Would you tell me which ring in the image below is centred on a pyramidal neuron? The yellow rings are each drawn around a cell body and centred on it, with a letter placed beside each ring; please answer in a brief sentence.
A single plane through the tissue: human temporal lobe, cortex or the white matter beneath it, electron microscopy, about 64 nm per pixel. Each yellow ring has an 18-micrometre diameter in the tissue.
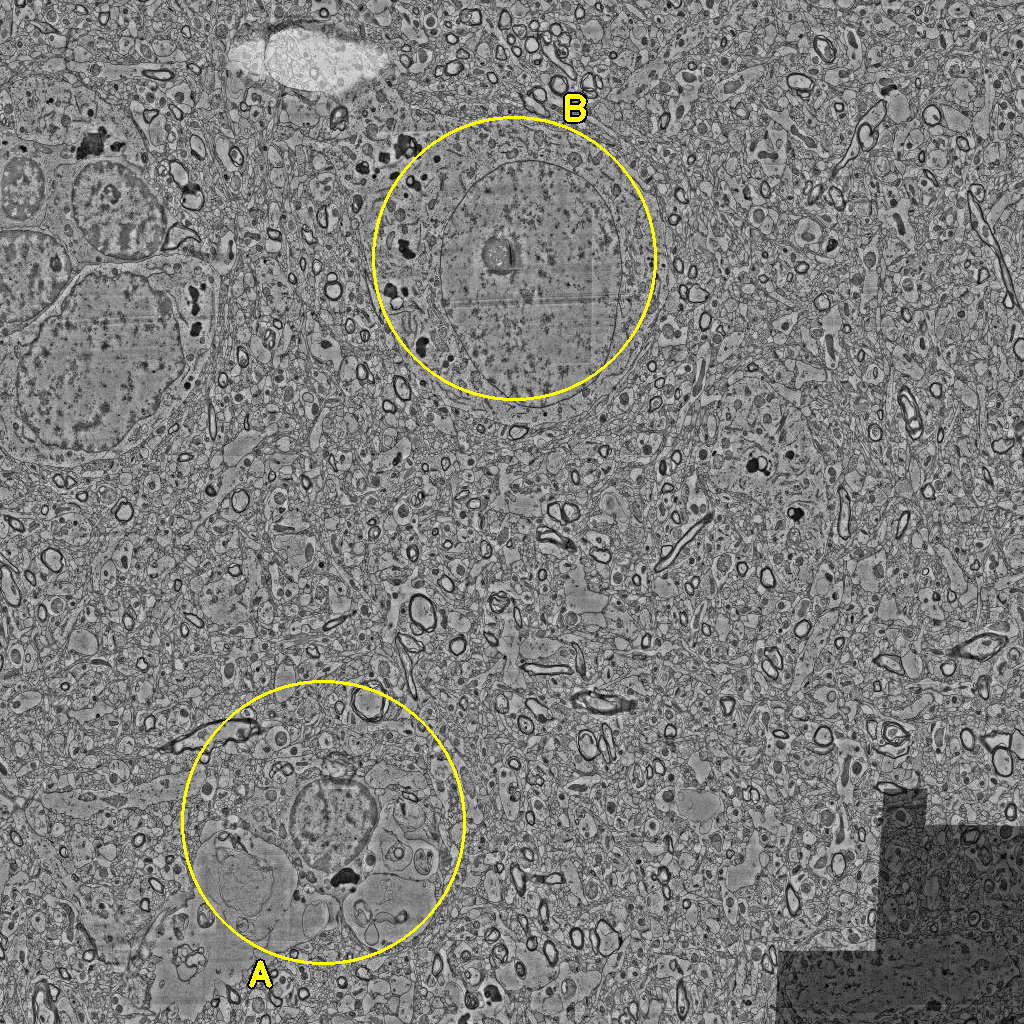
Ring B is centred on it.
